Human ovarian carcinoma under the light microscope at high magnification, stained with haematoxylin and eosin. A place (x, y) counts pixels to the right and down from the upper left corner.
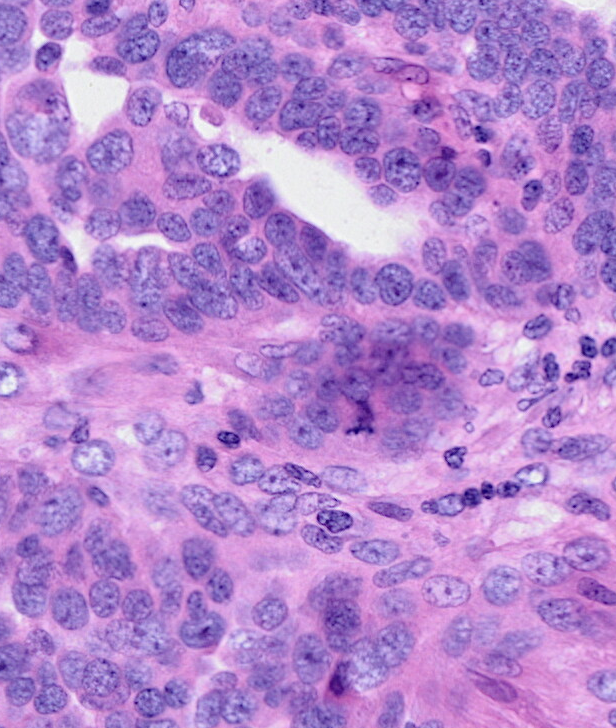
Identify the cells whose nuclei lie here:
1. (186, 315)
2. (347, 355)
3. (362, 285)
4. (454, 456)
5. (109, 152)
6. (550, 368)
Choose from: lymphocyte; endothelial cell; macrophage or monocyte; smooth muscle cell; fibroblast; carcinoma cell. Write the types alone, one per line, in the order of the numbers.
carcinoma cell
carcinoma cell
carcinoma cell
lymphocyte
carcinoma cell
lymphocyte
